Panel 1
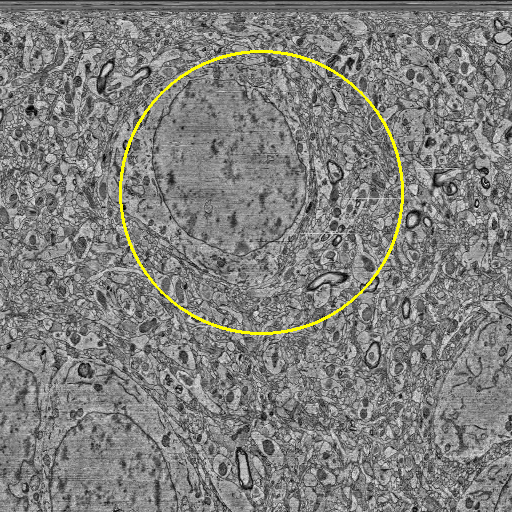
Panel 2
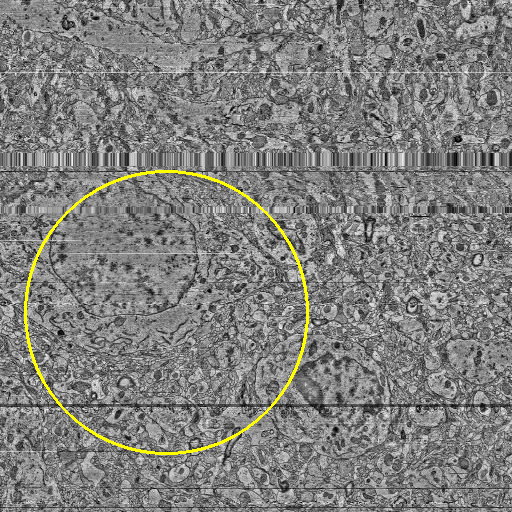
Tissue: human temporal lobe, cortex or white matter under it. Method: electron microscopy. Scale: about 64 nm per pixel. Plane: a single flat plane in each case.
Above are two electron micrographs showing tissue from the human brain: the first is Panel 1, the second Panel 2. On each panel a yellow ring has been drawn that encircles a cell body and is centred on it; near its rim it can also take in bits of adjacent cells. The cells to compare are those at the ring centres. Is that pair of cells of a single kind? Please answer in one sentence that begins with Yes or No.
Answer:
Yes, the ring-centred cells of Panel 1 and Panel 2 belong to one kind.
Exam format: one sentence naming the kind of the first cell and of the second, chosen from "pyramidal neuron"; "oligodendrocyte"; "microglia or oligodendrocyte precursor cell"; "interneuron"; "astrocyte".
In the first picture and in the second, the ring is centred on a pyramidal neuron.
